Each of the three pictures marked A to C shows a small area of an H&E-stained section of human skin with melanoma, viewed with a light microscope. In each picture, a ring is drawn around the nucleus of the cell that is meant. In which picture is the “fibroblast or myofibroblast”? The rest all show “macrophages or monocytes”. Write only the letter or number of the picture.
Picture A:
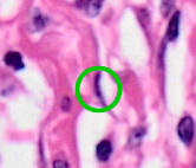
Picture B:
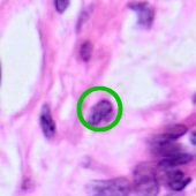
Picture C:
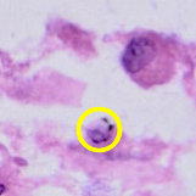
A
